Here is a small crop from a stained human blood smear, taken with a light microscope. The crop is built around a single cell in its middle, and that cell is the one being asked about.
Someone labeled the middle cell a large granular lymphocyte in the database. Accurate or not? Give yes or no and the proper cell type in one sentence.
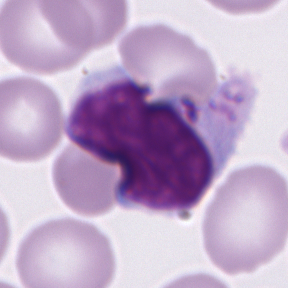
Yes, the cell in the exact middle is a large granular lymphocyte.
